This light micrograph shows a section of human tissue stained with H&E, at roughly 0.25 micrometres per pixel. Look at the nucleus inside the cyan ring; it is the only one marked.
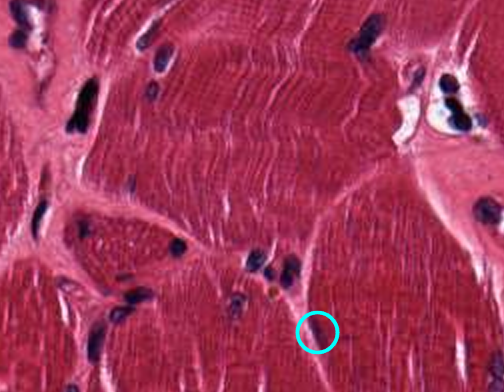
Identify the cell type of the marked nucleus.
skeletal muscle fibre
